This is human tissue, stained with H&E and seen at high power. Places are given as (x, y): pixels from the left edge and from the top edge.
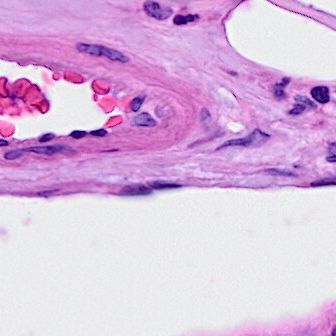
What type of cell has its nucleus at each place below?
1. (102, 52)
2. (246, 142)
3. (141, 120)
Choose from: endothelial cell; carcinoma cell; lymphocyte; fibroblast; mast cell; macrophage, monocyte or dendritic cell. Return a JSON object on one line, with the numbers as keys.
{"1": "endothelial cell", "2": "fibroblast", "3": "endothelial cell"}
